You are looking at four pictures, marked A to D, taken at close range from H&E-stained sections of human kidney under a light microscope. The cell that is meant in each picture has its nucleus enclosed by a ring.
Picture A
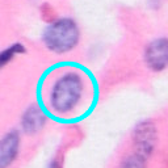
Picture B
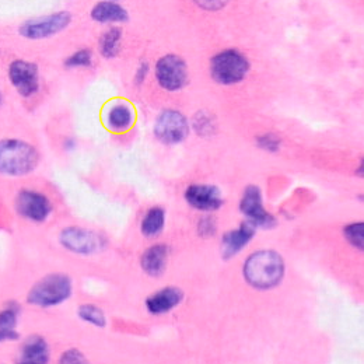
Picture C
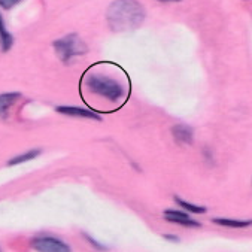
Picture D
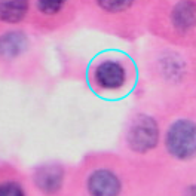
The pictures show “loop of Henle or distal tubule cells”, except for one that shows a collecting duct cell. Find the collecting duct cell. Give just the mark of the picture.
A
